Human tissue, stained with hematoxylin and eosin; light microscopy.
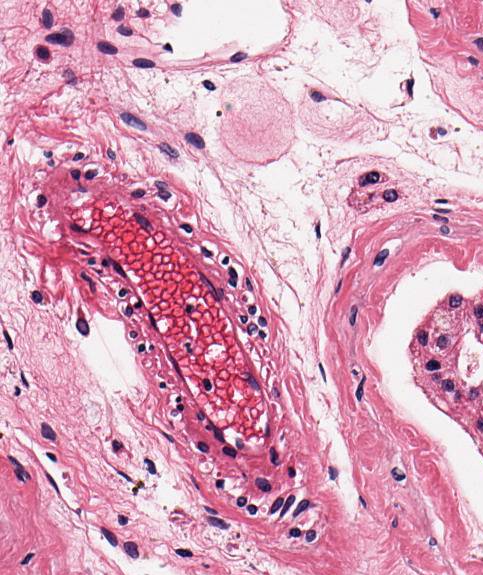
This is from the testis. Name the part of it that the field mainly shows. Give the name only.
loose connective tissue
